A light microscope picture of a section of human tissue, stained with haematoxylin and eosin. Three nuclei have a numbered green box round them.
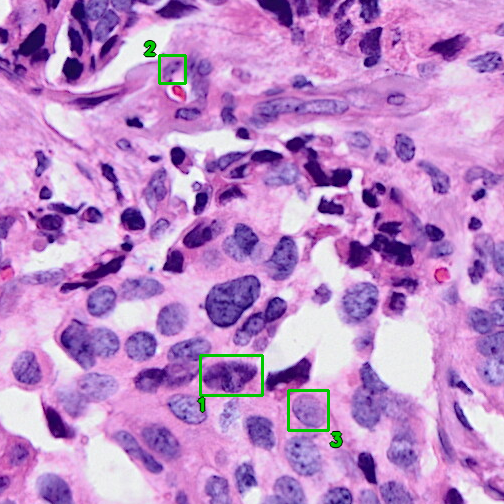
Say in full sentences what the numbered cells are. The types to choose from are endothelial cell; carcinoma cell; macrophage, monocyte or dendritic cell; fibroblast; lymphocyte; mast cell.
Cell 1 is a carcinoma cell, cell 2 is an endothelial cell and cell 3 is a carcinoma cell.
